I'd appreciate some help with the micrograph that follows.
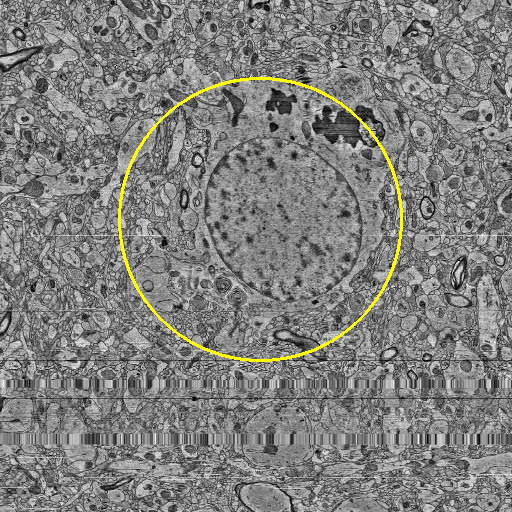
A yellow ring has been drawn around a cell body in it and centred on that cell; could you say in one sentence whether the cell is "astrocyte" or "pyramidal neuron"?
It is an astrocyte at the centre of the ring.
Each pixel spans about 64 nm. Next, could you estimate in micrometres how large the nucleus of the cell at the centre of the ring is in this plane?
The nucleus of the ringed cell is approximately 11 by 9 micrometres in this plane.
